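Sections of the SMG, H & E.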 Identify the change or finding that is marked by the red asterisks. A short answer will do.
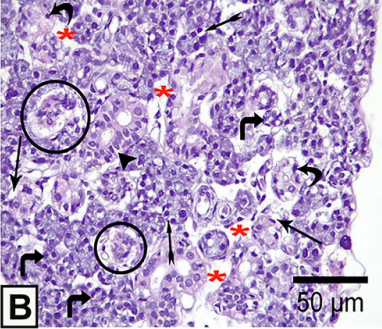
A: degenerative areas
